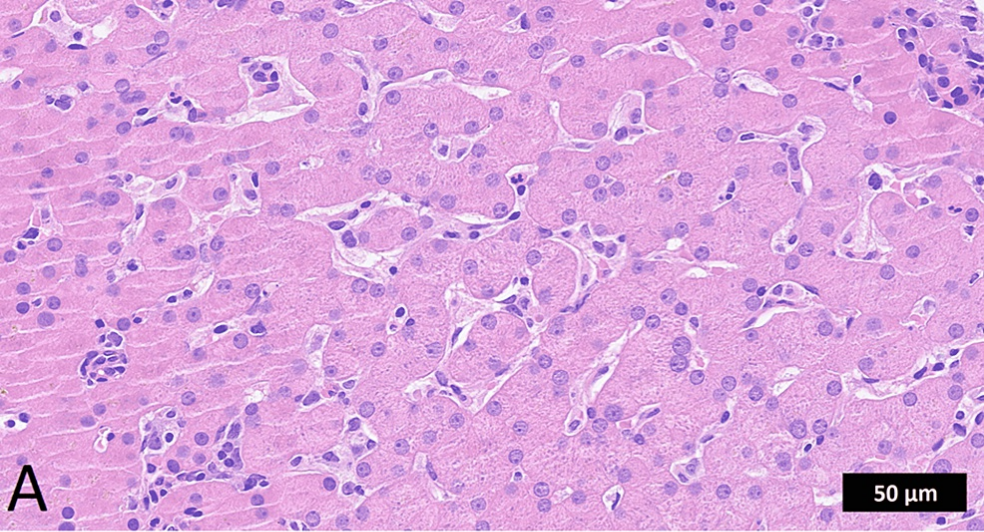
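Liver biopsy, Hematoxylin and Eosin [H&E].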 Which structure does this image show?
hepatic sinusoids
